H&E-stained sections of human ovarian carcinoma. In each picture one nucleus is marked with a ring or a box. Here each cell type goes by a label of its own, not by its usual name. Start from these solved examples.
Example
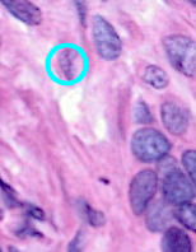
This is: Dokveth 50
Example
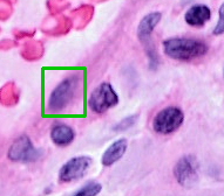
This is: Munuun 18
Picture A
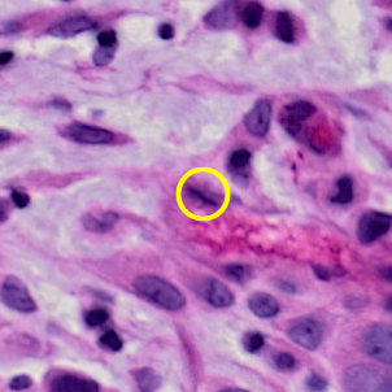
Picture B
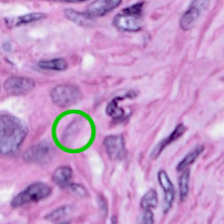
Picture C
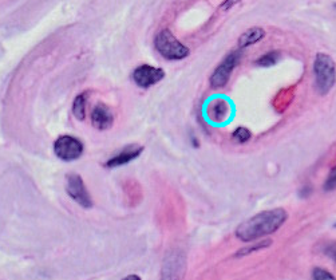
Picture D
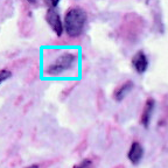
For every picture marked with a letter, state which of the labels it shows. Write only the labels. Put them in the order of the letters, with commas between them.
Munuun 18, Dokveth 50, Munuun 18, Dokveth 50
